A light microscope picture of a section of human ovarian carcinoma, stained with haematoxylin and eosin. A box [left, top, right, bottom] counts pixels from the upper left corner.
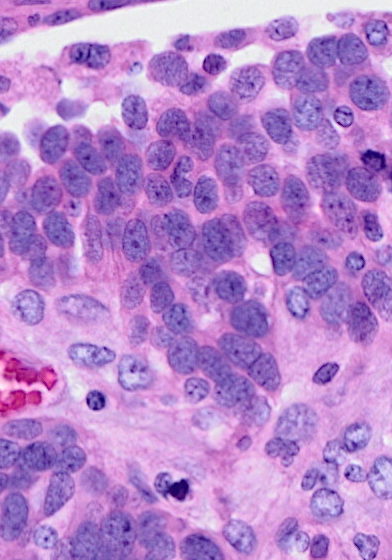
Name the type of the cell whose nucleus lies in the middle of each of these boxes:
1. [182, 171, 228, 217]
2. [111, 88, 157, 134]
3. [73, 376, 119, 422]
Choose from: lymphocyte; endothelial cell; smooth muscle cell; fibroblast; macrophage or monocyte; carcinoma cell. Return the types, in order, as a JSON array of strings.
["carcinoma cell", "macrophage or monocyte", "lymphocyte"]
